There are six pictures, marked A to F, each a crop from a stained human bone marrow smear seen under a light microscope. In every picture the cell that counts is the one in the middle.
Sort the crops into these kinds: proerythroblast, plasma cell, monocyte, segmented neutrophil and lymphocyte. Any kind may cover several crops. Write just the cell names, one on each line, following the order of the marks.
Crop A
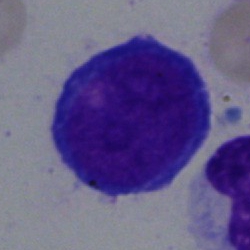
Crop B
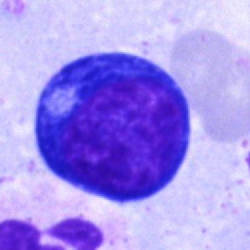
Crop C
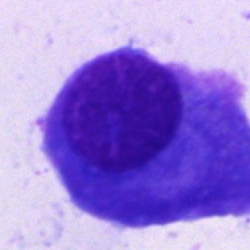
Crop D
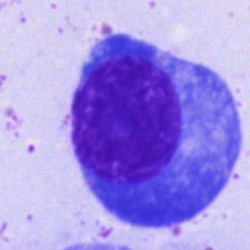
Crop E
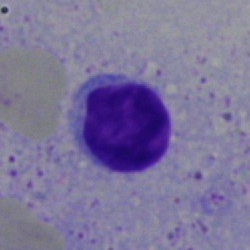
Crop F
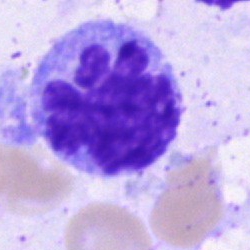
proerythroblast
proerythroblast
plasma cell
plasma cell
lymphocyte
monocyte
